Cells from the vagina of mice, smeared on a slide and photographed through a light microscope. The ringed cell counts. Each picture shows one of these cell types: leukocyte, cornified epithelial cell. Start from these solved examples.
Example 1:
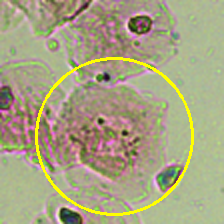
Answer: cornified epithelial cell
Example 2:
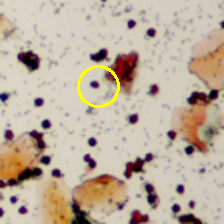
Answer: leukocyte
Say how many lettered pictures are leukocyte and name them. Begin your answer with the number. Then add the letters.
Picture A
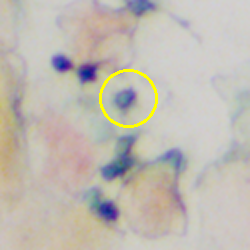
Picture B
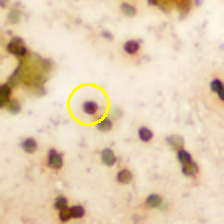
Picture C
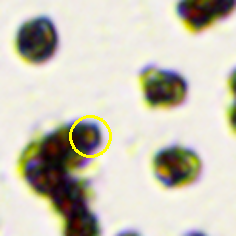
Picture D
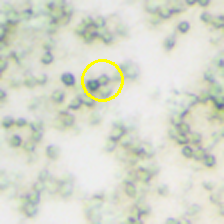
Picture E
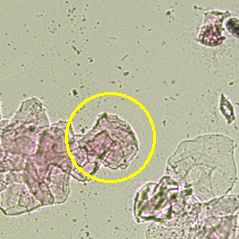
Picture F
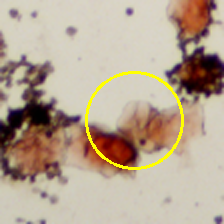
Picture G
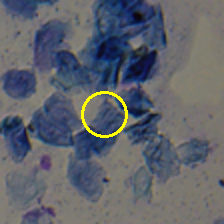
4, namely A, B, C, D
